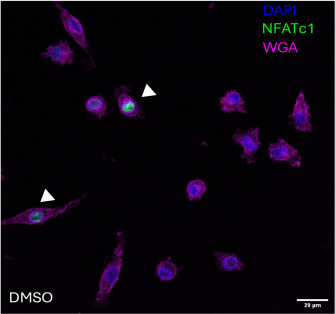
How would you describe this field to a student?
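Most are small and rounded, while a few are drawn out into elongated, spindle-like shapes with tapering ends. Each cell holds one round to oval blue nucleus, usually central, with a thin rim of magenta cytoplasm around it. In a couple of cells, marked by white arrowheads, a green signal sits inside the nucleus, whereas the other cells show no green.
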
